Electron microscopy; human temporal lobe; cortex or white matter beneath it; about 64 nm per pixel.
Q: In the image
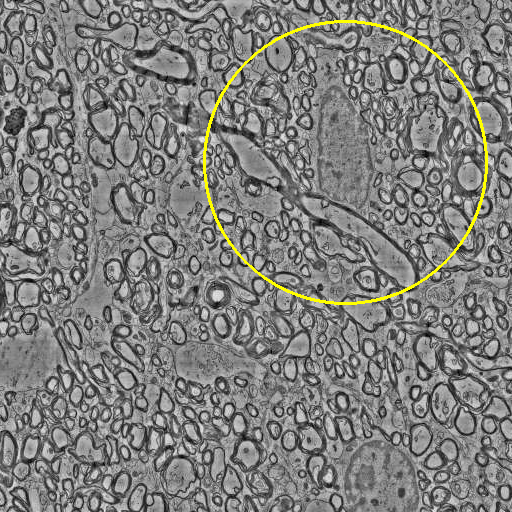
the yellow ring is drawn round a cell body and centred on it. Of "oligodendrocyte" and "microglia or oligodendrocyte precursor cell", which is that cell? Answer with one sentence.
The cell centred in the ring is an oligodendrocyte.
